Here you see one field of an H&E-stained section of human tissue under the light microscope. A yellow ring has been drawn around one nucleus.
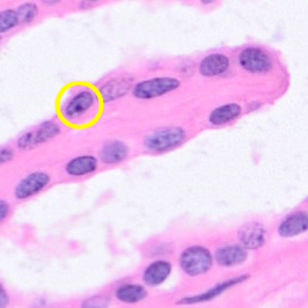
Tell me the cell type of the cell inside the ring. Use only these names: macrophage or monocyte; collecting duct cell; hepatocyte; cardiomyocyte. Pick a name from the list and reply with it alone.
collecting duct cell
